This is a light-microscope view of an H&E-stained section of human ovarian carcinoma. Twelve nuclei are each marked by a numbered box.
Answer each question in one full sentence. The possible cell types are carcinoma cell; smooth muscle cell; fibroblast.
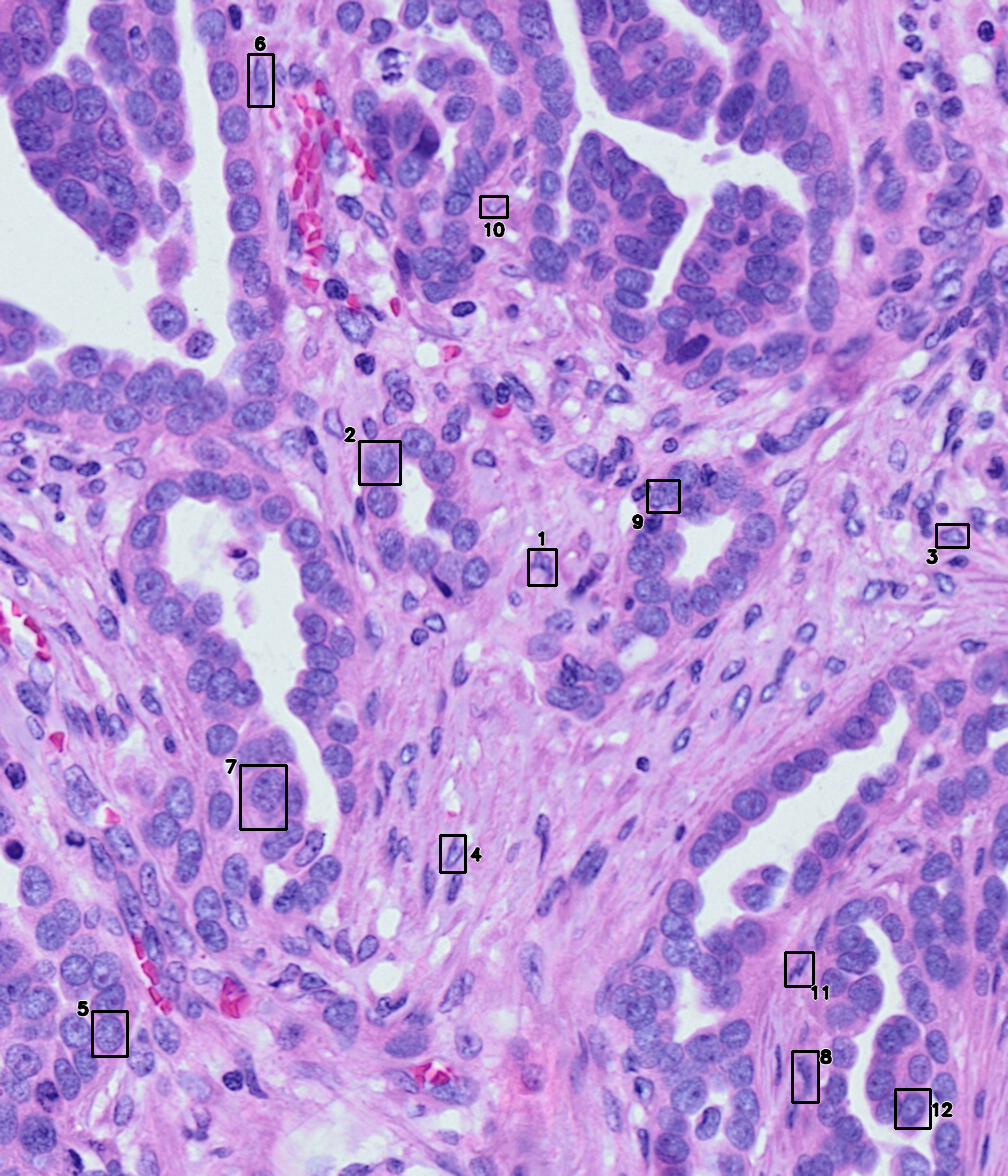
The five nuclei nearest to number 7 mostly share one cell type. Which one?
Carcinoma cells make up most of the five nuclei closest to number 7.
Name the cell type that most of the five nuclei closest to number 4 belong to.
Around number 4, most of the five nearest nuclei are those of fibroblasts.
